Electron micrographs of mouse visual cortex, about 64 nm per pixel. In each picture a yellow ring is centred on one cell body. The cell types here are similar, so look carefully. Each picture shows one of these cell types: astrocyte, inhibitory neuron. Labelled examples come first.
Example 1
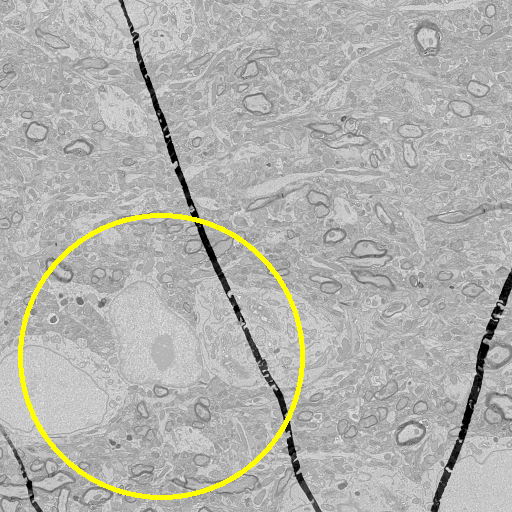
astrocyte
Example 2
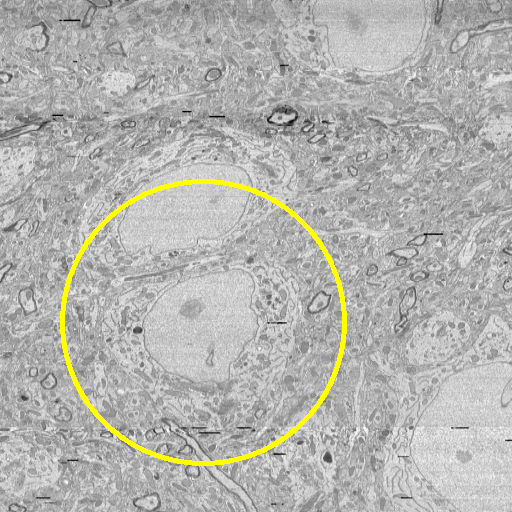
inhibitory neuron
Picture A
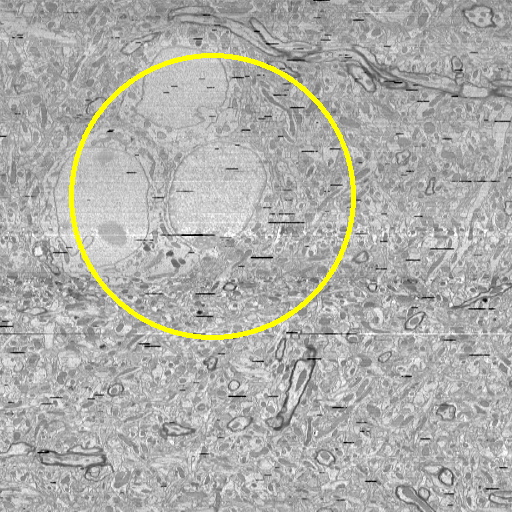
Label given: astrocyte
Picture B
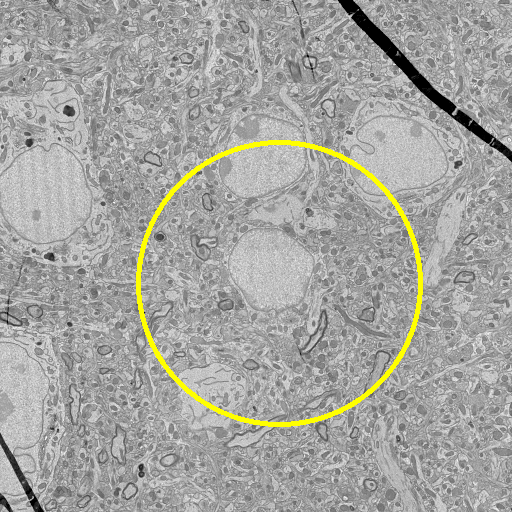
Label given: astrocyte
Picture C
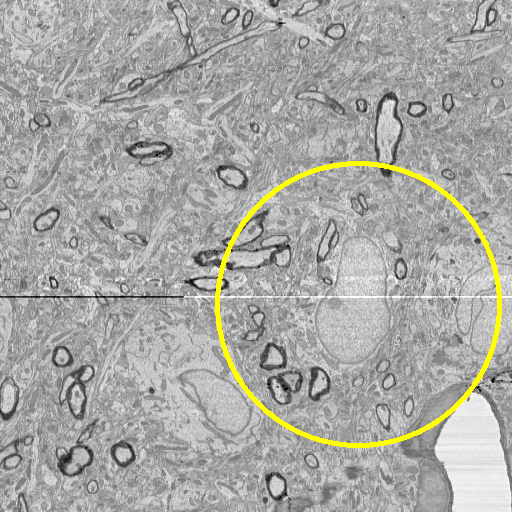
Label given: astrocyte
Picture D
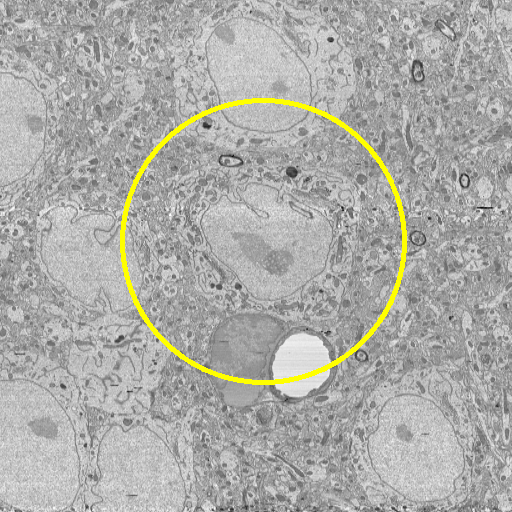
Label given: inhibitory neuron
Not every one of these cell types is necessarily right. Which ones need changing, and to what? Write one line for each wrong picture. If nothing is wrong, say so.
All labels are correct.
